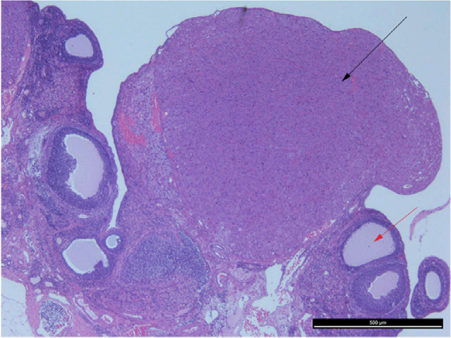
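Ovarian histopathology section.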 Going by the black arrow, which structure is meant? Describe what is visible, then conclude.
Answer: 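The arrow points into a very large, solid, pink-staining mass occupying much of the section. The mass is compact without a central cavity.
Corpus luteum.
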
